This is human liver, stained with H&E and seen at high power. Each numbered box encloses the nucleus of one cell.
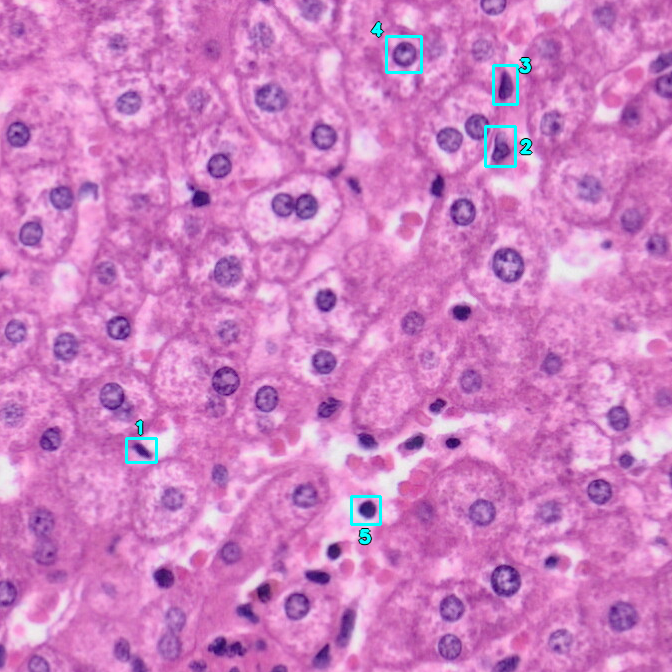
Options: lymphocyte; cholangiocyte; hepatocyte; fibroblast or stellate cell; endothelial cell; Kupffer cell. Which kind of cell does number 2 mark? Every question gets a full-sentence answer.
Among the marked cells, number 2 is a Kupffer cell.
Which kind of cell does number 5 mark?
The cell tagged with 5 in this tissue section is a lymphocyte.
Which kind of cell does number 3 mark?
To a fibroblast or stellate cell belongs the nucleus marked 3.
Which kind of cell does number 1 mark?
As for number 1, that cell is an endothelial cell.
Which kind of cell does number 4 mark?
Numbered cell 4 is a hepatocyte in this tissue section.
